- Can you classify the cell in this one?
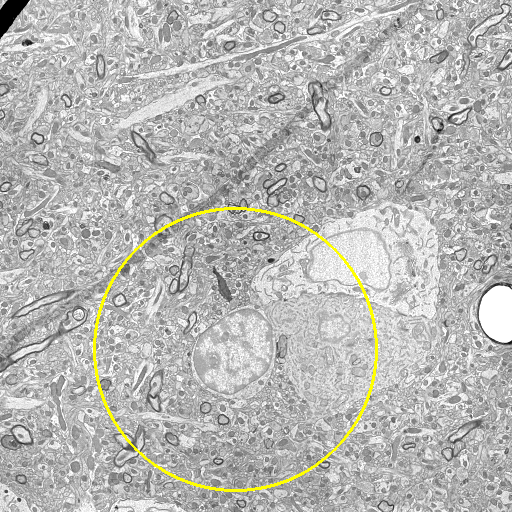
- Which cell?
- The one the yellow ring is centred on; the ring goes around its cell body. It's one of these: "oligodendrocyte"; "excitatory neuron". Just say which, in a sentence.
The cell body in the ring belongs to an oligodendrocyte.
